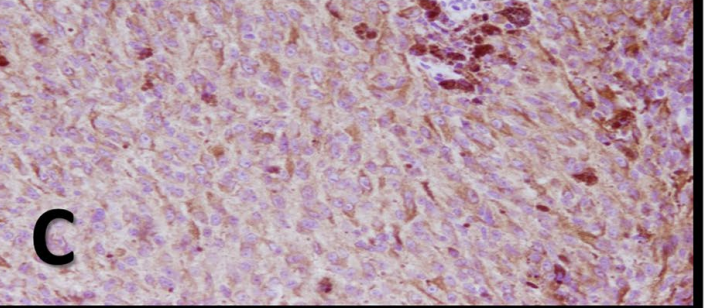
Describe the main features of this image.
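Tumor cells in a sheet, plump and polygonal to spindle-shaped, with oval, pale bluish nuclei. Their cytoplasm takes a brown stain throughout the field, stronger in some cells than in others. Scattered dark brown clumped cells stand out, mostly toward the upper right.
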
